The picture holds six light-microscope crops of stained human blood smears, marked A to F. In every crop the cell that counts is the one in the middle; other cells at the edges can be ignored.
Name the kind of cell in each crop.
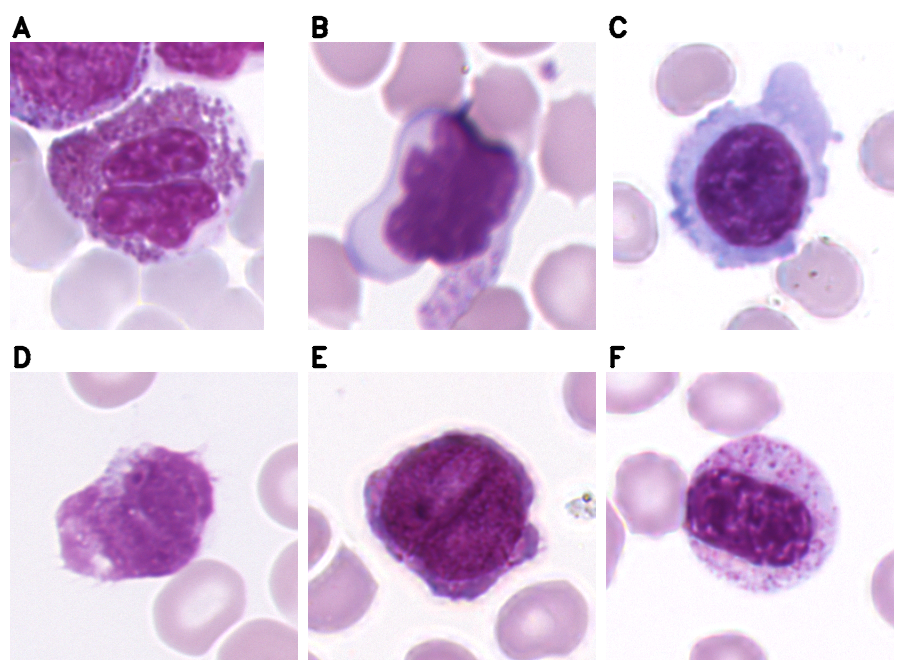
A: eosinophil
B: large granular lymphocyte
C: plasma cell
D: smudge cell
E: atypical promyelocyte
F: metamyelocyte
